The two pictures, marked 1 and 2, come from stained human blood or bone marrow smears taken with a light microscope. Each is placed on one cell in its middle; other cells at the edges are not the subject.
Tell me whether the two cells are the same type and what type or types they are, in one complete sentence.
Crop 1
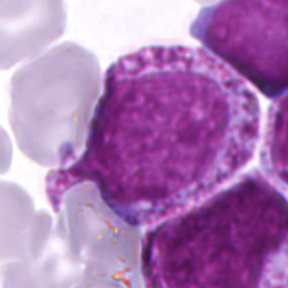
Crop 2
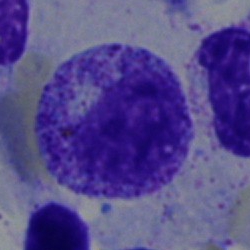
Yes, in both of the crops, the central cells are myelocytes.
